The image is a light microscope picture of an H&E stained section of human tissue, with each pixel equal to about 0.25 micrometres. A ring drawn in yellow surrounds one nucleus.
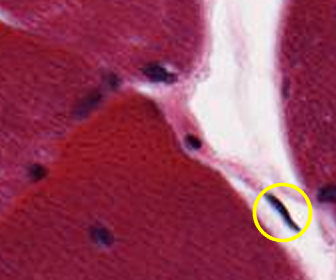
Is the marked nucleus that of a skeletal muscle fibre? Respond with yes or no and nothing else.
no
